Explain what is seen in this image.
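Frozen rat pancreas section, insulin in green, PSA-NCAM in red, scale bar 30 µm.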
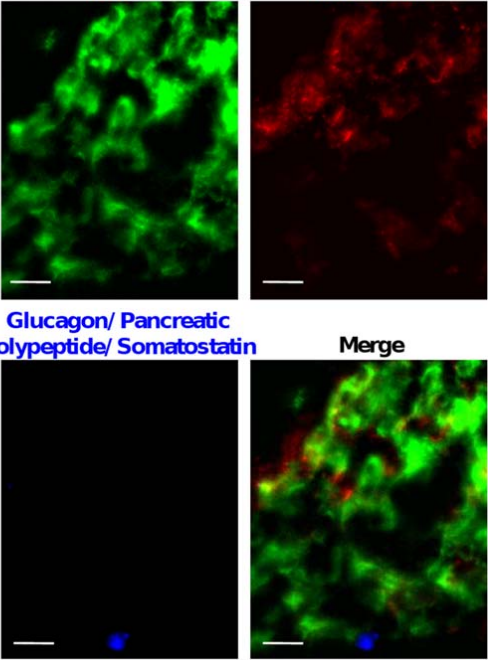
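This is a section through a pancreatic islet in which tightly packed endocrine cells fill the field. Green signal outlines and fills many closely apposed cells, forming a dense meshwork with dark gaps between clusters. Red signal is fainter and patchy, lying along parts of the green cells, so that the merged image shows red and yellow at the borders of green areas. Blue signal is almost absent, with only a single small blue spot near the lower edge. Individual cell borders are hard to follow because the cells are crowded together.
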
